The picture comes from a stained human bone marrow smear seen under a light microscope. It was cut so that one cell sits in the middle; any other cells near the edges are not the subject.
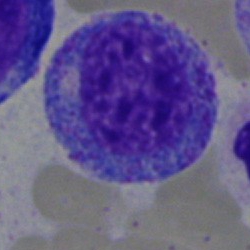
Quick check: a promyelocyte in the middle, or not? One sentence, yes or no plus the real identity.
Yes, this crop has a promyelocyte at its centre.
